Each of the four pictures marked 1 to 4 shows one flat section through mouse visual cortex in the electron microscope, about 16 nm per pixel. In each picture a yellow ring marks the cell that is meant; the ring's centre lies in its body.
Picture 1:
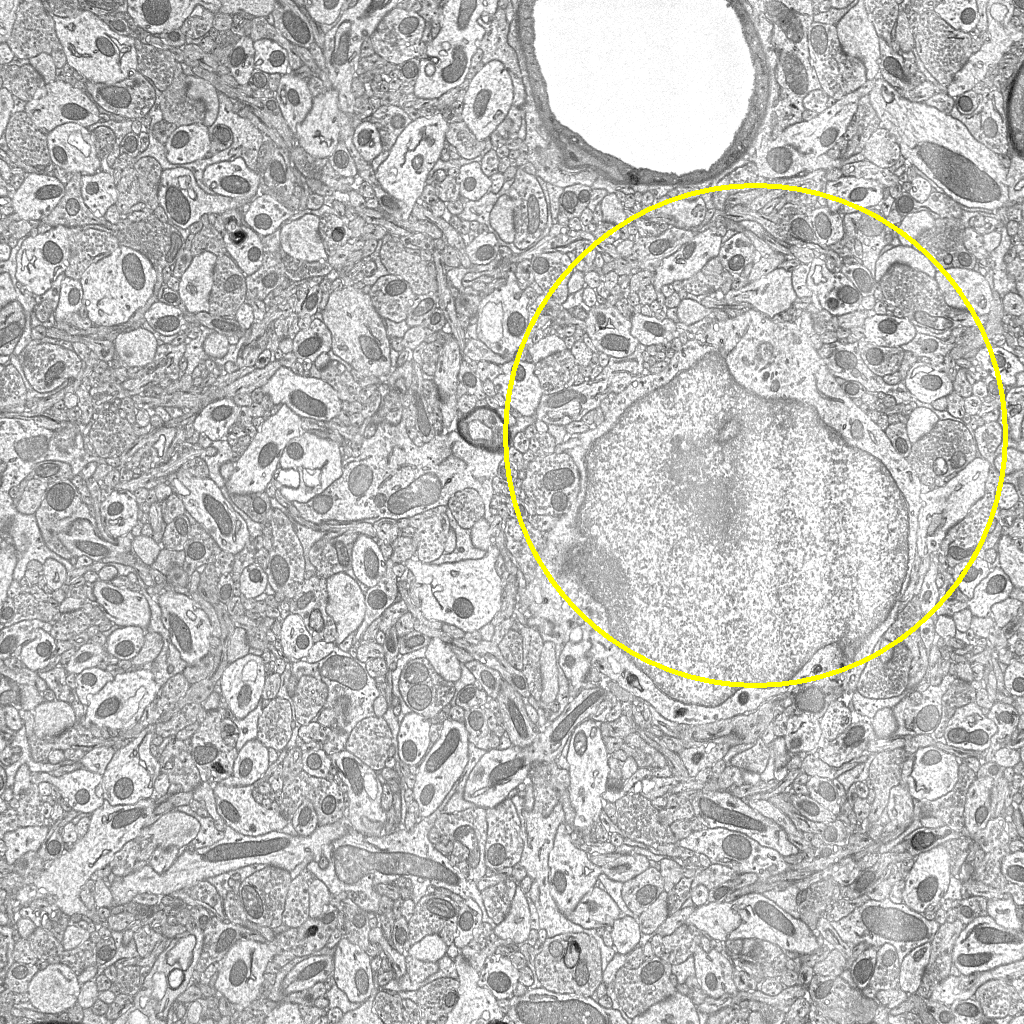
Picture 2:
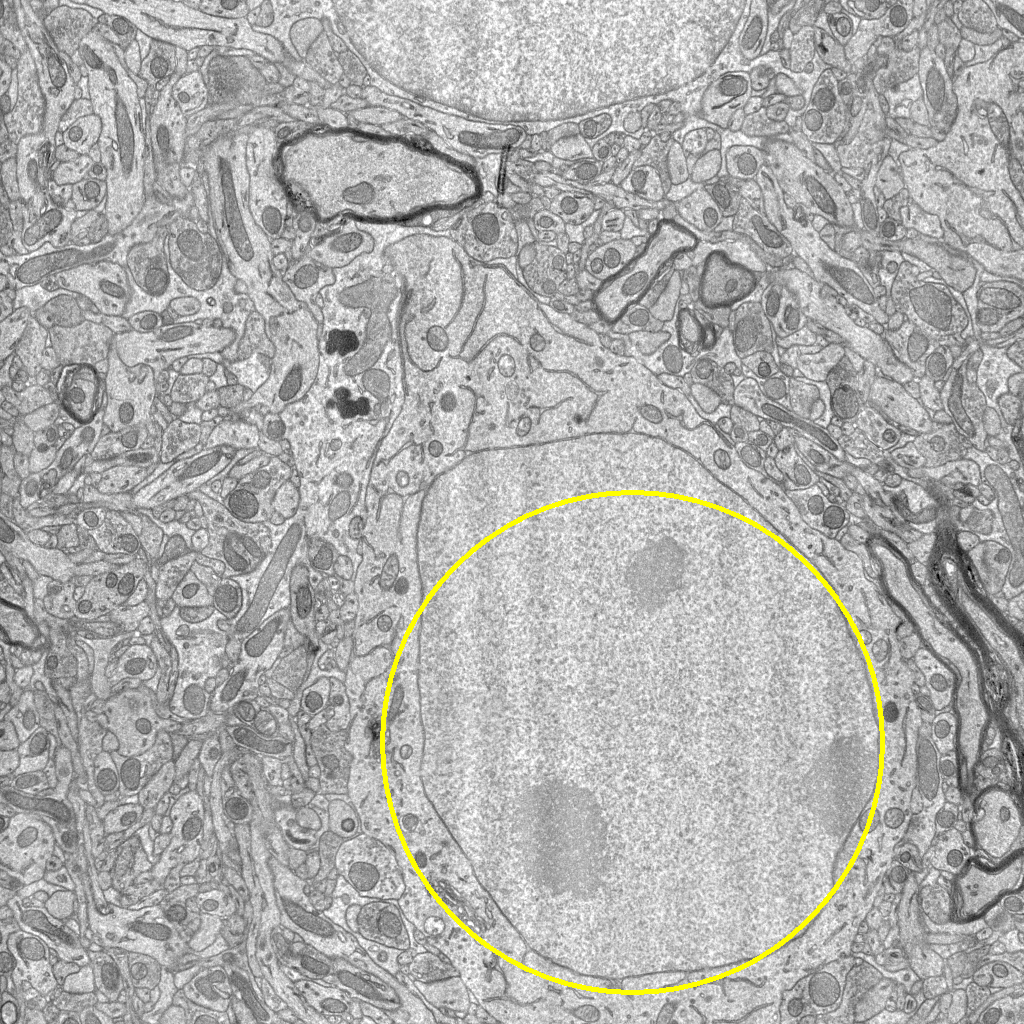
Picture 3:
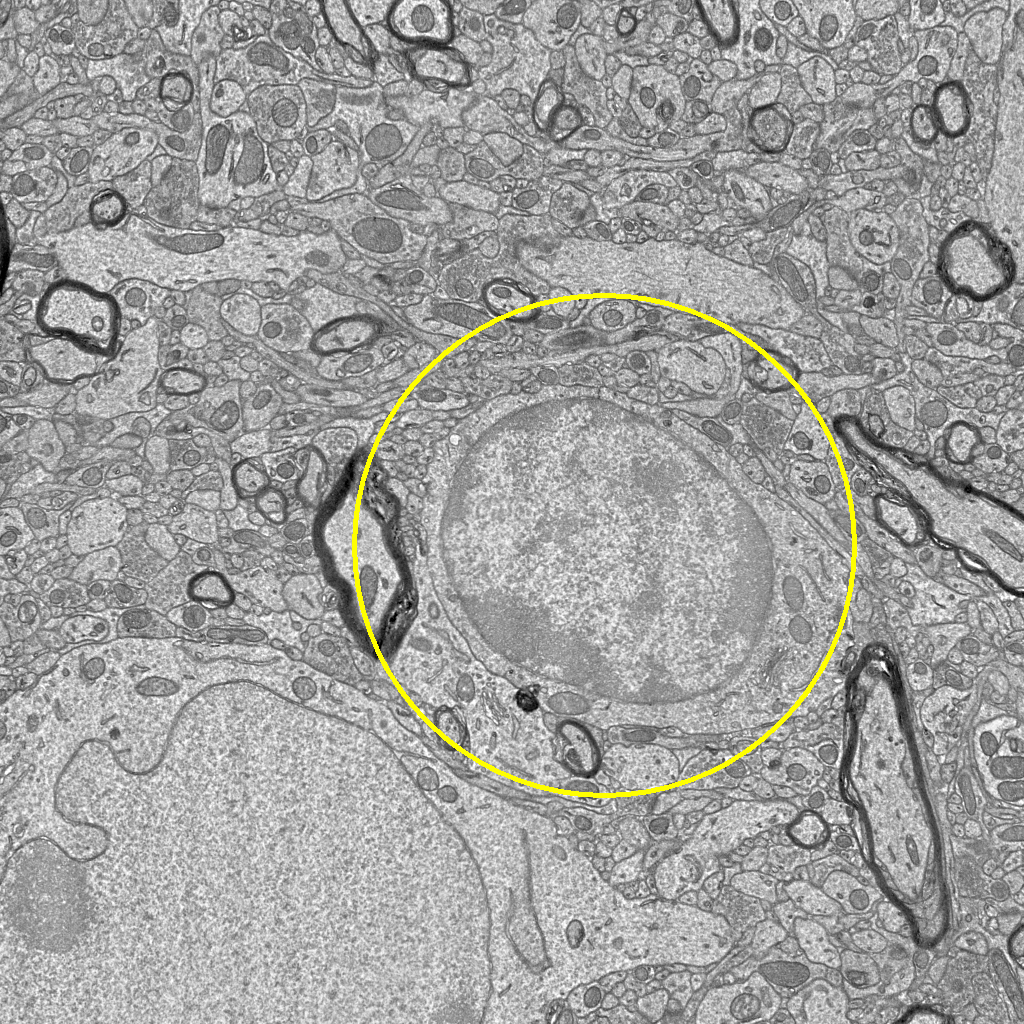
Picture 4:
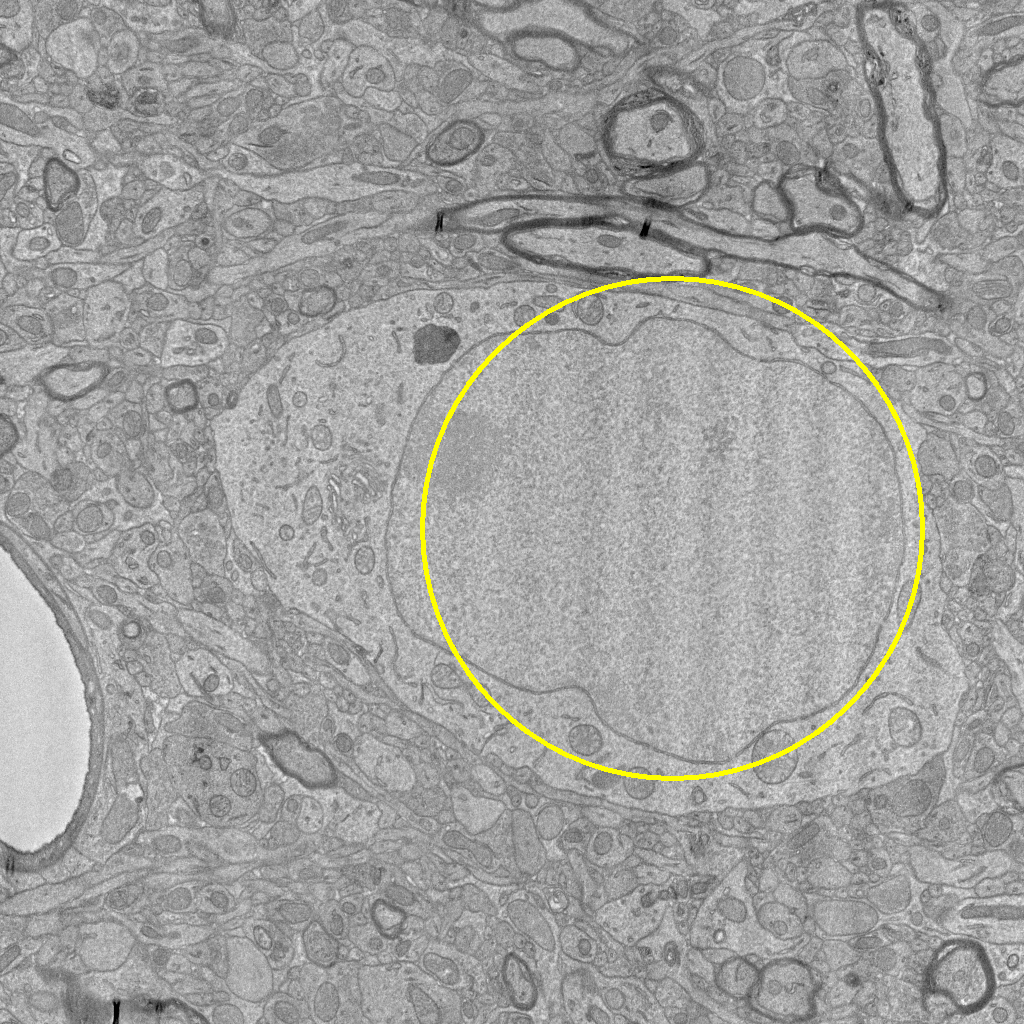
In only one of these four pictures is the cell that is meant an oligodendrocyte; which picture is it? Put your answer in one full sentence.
The oligodendrocyte is the one in picture 3.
